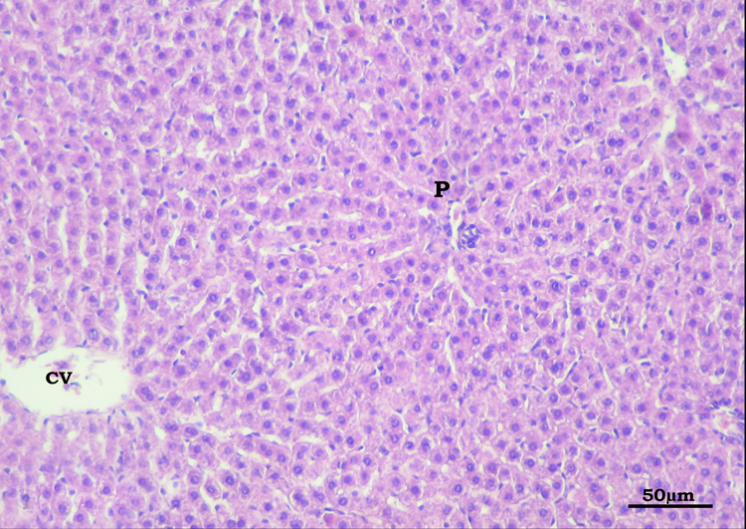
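Liver parenchyma with hepatocytes arranged in branching, anastomosing cords one to two cells thick. The cords radiate from a large, thin-walled, empty venous lumen at the lower left toward a small portal area near the centre. Hepatocytes are polygonal, with evenly pink cytoplasm and round, centrally placed, dark-purple nuclei. Narrow pale sinusoidal clefts separate the cords. These clefts are lined by occasional flattened, elongated nuclei.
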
